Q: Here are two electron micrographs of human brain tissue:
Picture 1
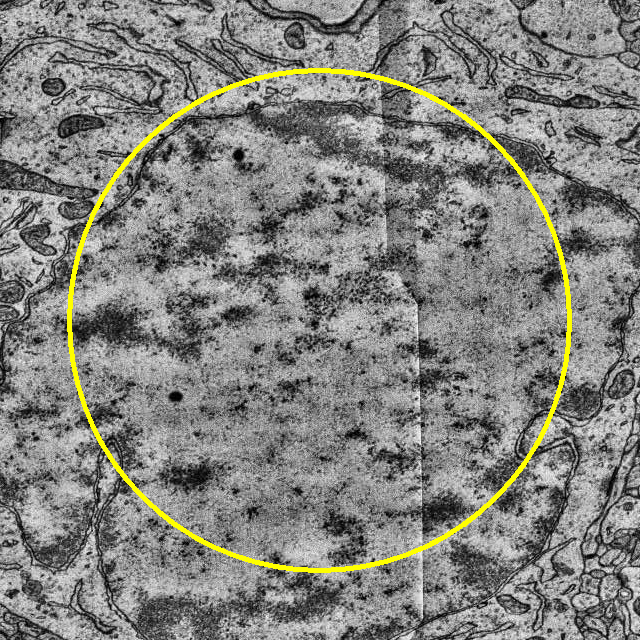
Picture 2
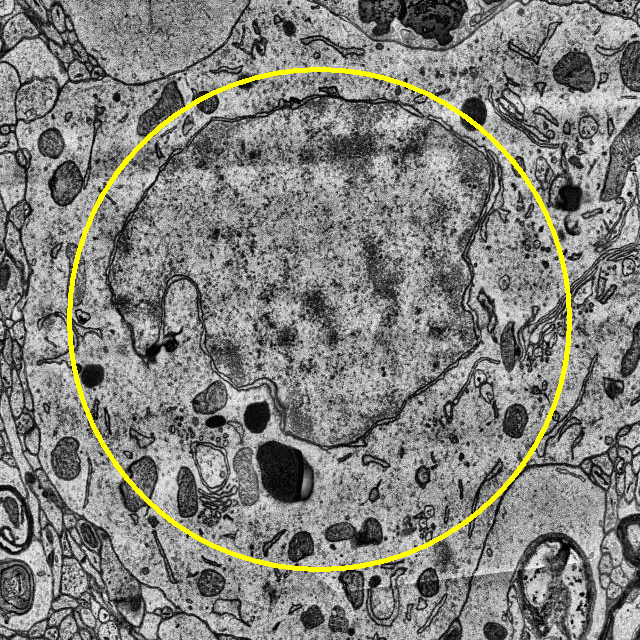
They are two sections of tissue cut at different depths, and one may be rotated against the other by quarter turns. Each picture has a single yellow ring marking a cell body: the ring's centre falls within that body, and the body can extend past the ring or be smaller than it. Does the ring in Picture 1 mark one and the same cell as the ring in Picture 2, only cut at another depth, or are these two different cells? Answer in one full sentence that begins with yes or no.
No, the rings surround different cells rather than one cell.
